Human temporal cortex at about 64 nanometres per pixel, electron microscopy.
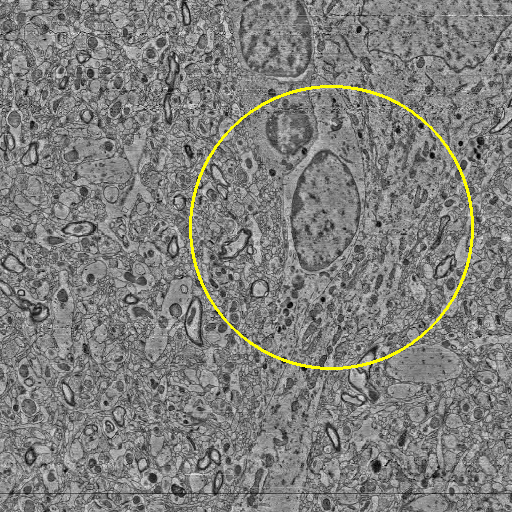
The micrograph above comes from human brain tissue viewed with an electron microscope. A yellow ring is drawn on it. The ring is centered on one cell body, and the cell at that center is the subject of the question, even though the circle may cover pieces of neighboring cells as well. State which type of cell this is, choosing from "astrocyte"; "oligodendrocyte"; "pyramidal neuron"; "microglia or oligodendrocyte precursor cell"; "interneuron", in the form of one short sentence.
The cell the ring is centered on is a microglial cell or oligodendrocyte precursor cell.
